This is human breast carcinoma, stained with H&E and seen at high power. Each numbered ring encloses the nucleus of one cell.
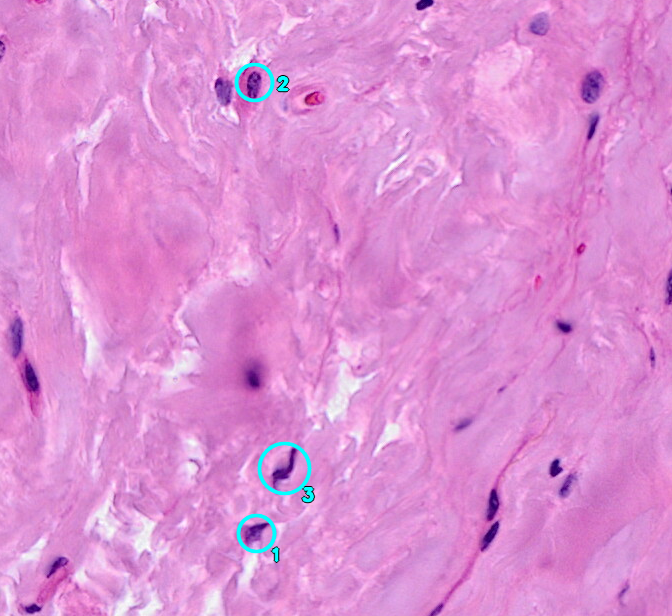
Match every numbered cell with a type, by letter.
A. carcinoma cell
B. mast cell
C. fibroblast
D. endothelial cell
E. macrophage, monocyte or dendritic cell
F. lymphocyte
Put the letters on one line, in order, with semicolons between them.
C; B; C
